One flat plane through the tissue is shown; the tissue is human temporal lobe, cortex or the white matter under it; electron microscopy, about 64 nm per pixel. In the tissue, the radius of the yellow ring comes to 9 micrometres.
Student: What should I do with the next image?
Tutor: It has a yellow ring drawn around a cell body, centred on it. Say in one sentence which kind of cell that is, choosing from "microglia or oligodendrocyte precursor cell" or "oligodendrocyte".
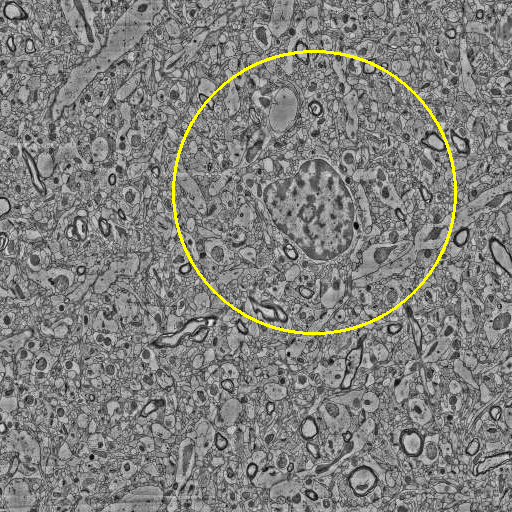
The ring's centre is occupied by a microglial cell or oligodendrocyte precursor cell.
